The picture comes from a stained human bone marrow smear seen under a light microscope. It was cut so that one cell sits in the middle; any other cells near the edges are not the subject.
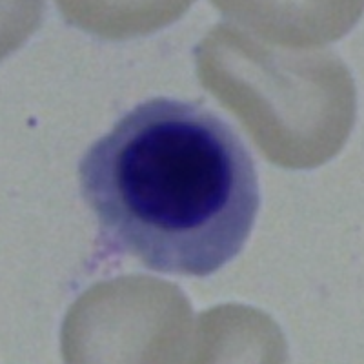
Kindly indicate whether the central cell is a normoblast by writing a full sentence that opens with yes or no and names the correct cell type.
Yes, the one cell at the centre is a normoblast.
